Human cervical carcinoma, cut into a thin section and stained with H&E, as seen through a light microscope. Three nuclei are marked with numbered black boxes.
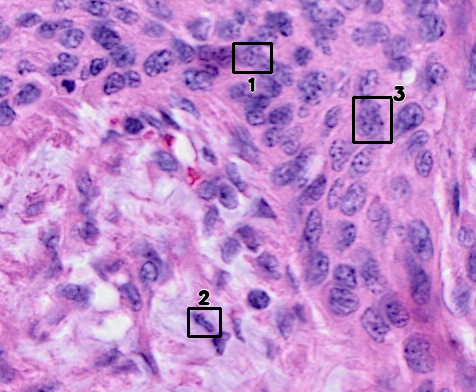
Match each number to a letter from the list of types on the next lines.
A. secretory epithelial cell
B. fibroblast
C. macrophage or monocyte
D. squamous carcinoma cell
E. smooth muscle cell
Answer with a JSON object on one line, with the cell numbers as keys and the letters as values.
{"1": "D", "2": "B", "3": "D"}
